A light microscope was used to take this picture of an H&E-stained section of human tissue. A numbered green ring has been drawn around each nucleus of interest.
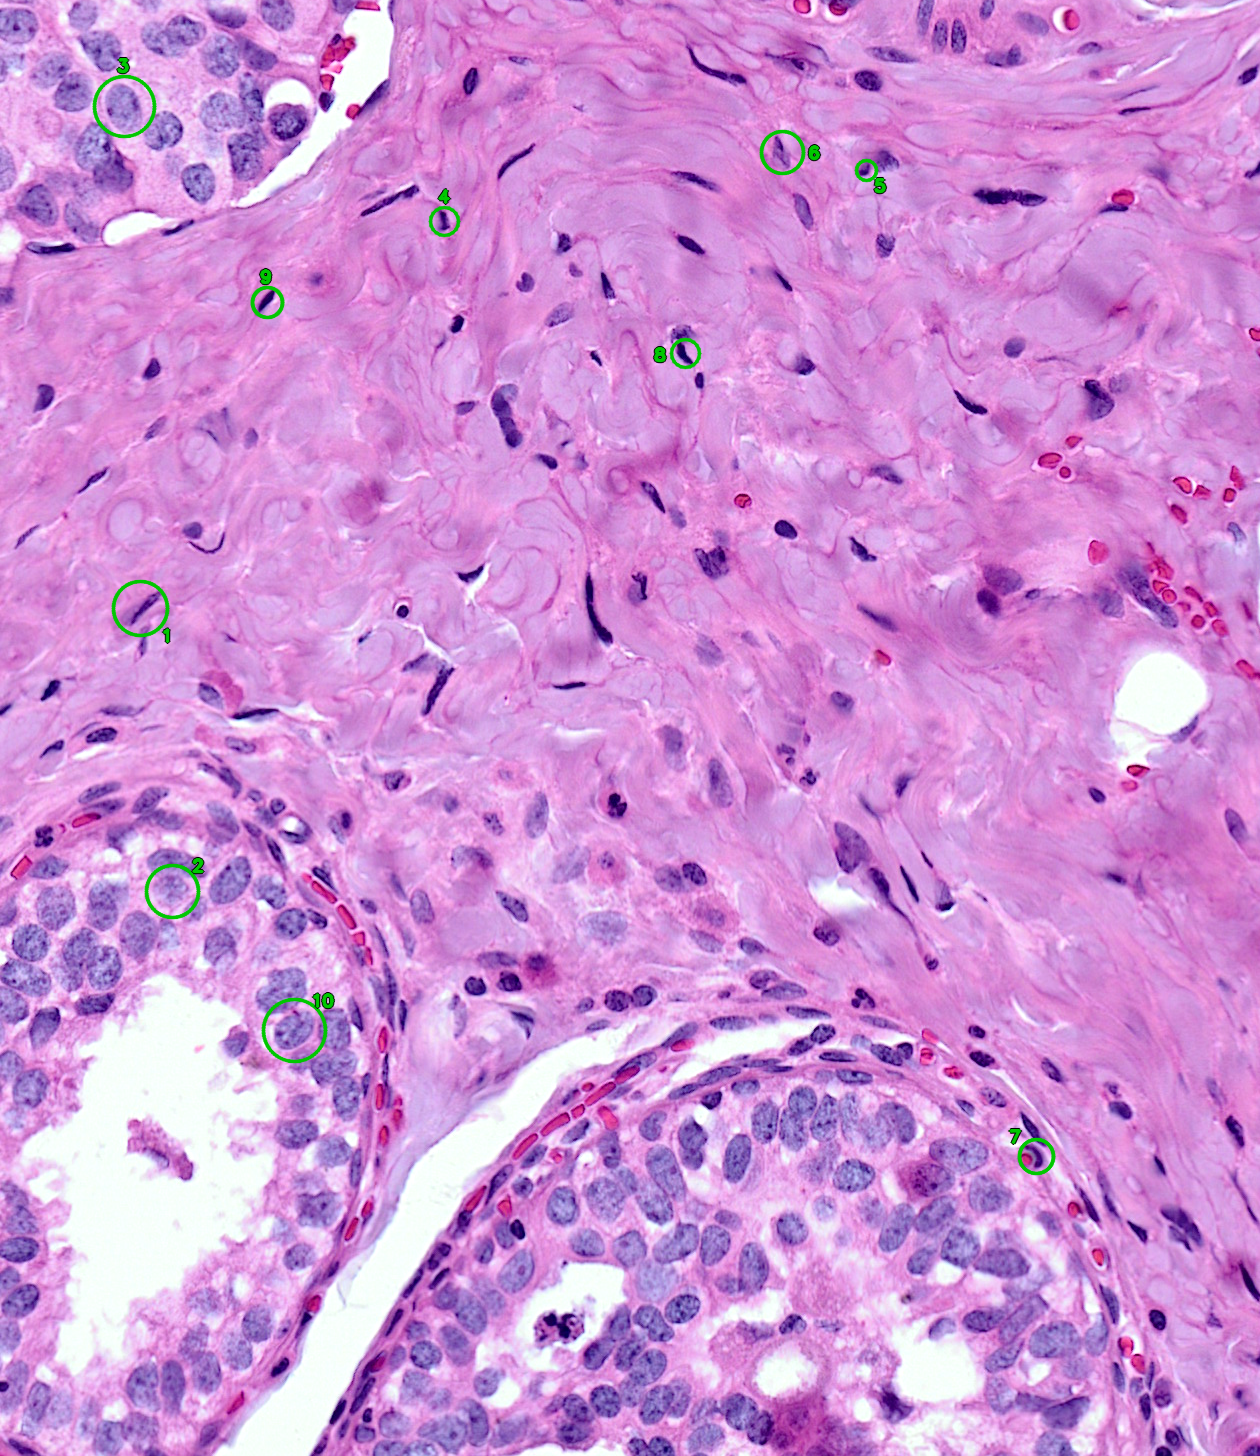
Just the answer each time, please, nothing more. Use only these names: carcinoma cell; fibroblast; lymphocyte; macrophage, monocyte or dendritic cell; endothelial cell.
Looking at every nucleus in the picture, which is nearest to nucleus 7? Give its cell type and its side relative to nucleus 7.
a fibroblast, above nucleus 7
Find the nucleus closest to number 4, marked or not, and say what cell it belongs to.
fibroblast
